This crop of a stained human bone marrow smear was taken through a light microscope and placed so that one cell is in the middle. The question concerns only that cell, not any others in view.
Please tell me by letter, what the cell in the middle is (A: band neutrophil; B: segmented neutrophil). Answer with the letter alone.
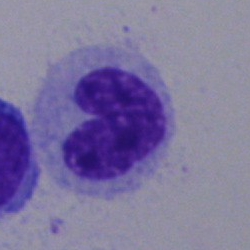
A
